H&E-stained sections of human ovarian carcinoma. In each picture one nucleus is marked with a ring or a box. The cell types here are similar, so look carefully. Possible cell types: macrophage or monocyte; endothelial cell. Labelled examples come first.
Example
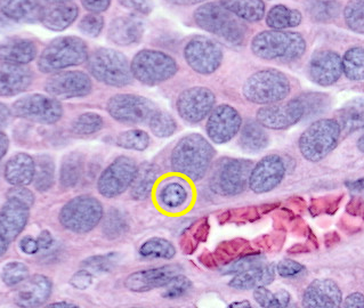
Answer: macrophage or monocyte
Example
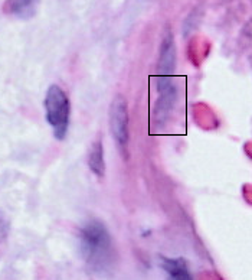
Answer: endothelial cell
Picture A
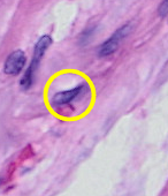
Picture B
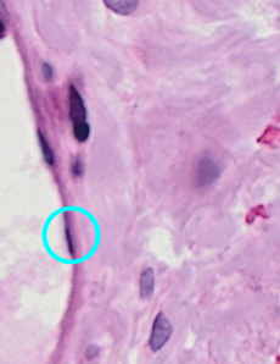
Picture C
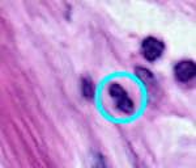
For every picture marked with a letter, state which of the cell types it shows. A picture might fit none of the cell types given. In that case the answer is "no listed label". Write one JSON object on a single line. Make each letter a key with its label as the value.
{"A": "endothelial cell", "B": "endothelial cell", "C": "no listed label"}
